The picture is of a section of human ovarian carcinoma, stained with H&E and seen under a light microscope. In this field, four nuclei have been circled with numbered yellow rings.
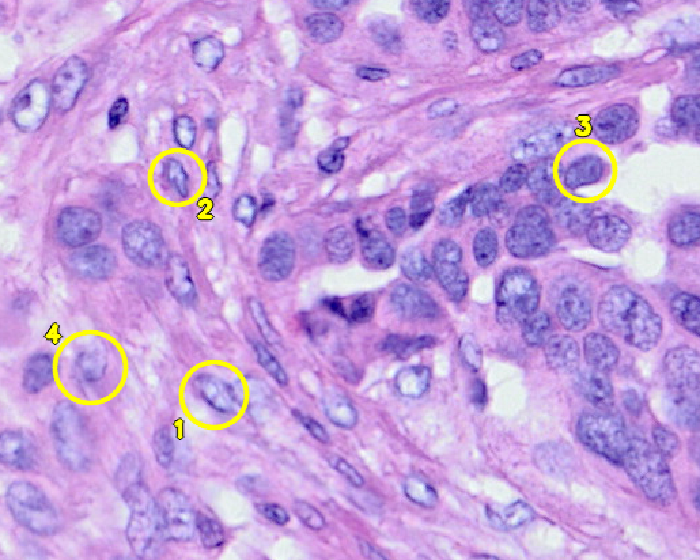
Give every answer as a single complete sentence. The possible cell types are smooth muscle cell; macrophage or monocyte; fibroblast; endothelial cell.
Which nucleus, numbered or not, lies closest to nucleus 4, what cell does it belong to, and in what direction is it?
The nearest nucleus is that of a macrophage or monocyte and lies to the left of nucleus 4.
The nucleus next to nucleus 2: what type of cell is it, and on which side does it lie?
The closest nucleus belongs to a fibroblast and sits to the right of nucleus 2.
